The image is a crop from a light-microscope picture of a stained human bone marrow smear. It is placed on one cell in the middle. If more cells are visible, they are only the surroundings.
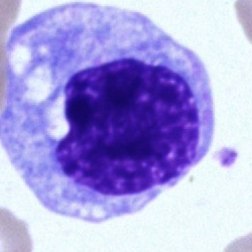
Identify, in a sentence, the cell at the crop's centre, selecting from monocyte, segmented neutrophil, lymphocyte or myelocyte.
The target cell in the middle of the crop is a monocyte.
